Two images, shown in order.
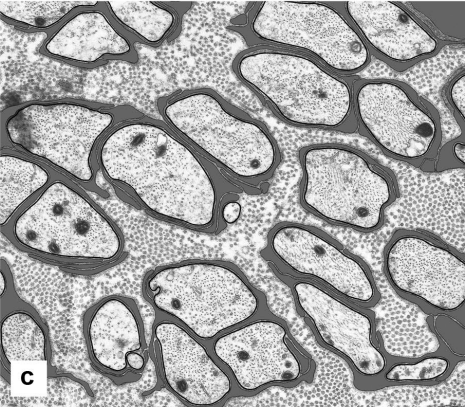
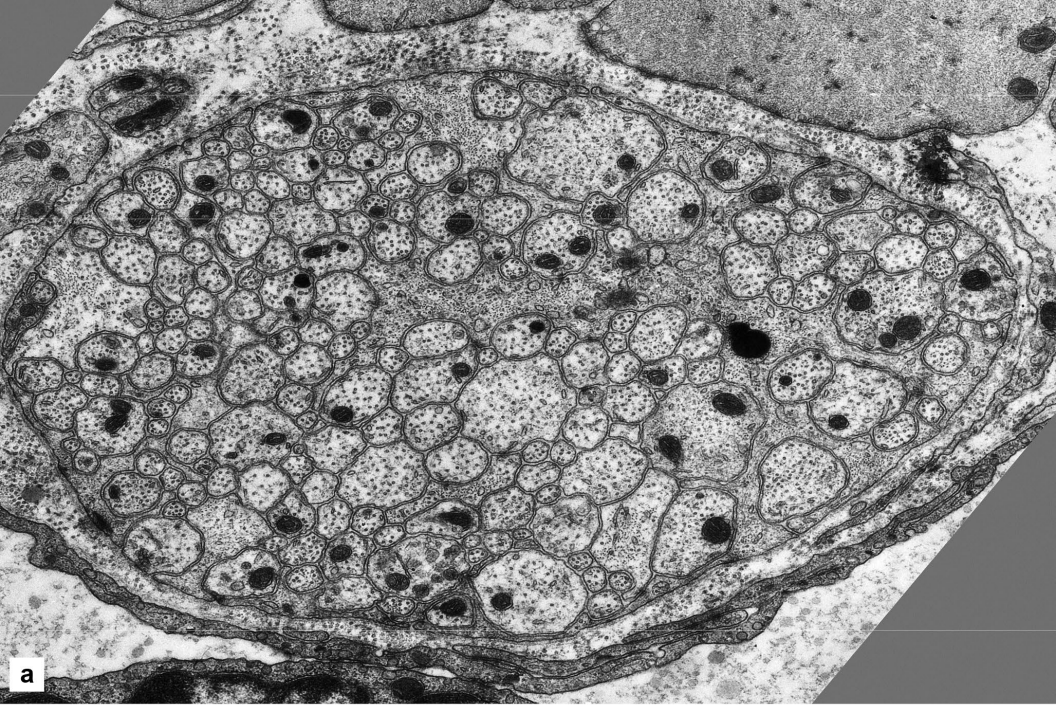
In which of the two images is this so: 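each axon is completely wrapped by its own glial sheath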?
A: The first image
